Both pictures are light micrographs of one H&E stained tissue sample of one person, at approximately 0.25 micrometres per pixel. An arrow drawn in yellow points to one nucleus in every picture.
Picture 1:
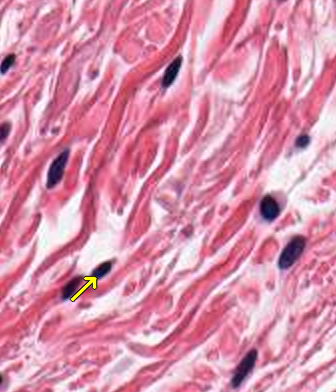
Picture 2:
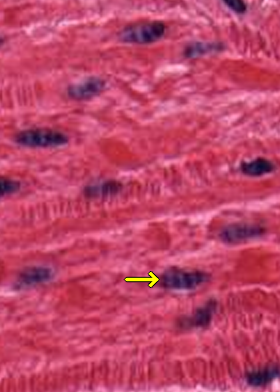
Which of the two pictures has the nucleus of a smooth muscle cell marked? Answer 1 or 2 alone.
2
